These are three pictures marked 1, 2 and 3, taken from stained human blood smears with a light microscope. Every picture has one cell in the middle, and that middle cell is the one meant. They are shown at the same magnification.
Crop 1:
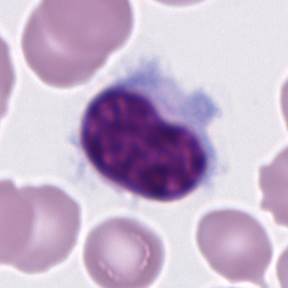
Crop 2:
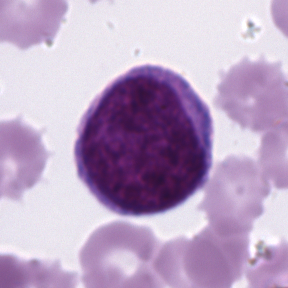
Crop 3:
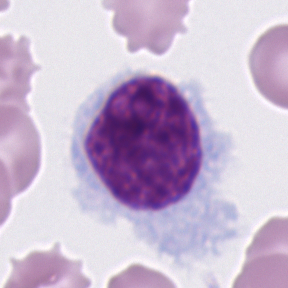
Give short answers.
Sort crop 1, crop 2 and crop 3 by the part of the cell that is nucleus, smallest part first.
3, 1, 2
